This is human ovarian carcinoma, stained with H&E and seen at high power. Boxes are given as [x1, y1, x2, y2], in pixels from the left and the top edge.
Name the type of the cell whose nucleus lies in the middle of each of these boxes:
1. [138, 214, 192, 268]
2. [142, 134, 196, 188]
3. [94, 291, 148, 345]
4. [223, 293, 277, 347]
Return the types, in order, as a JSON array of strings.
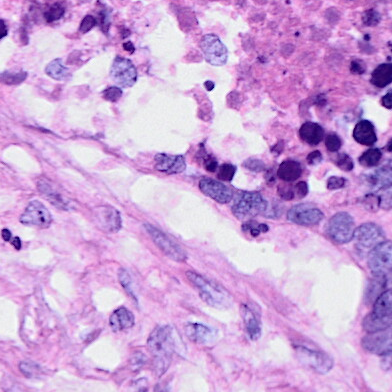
["fibroblast", "macrophage or monocyte", "macrophage or monocyte", "fibroblast"]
